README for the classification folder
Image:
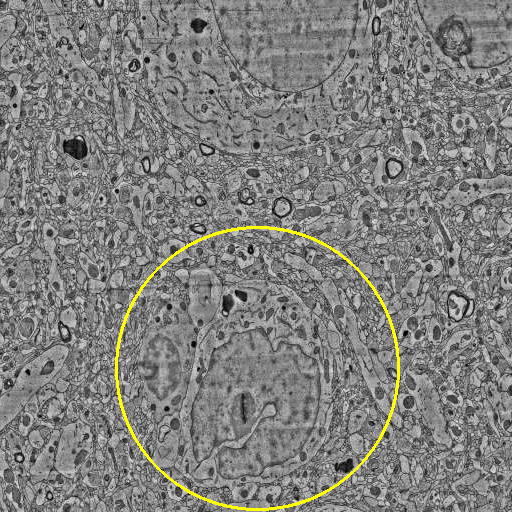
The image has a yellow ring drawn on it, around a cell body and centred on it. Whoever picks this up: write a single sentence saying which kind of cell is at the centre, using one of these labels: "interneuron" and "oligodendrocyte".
This cell body is that of an interneuron.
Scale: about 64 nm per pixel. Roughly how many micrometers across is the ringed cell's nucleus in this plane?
In this plane the nucleus measures roughly 10 by 8 micrometres.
